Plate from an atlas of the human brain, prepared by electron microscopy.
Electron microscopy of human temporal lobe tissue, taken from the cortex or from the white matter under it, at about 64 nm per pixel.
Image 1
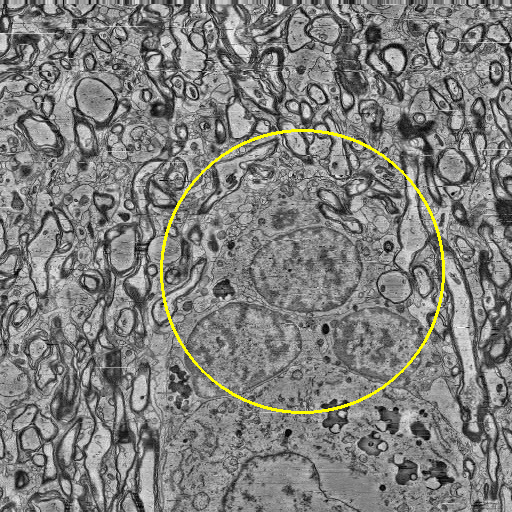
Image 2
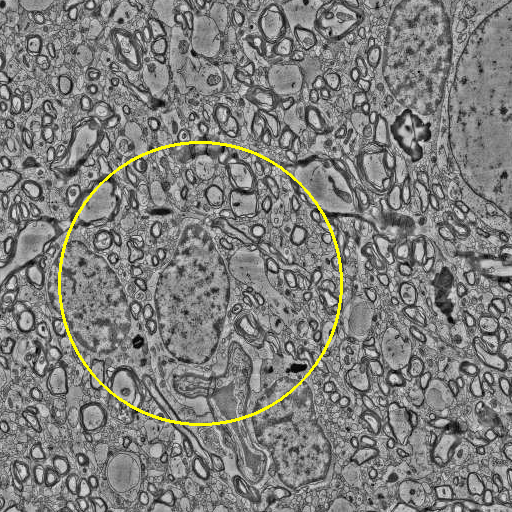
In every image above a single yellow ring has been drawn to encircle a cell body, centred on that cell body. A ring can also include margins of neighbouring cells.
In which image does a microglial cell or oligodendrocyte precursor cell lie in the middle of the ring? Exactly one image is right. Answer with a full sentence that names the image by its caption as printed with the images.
Image 2 holds the requested cell at the very centre of its ring.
